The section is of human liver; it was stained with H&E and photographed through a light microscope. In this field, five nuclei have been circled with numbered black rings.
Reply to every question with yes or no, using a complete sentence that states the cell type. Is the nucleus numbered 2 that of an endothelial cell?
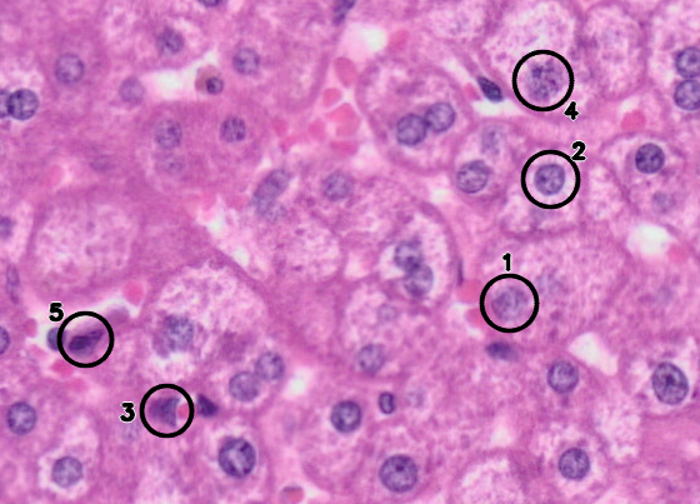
No, the cell numbered 2 is a hepatocyte rather than an endothelial cell.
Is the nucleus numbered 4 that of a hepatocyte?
Yes, the cell denoted by 4 is a hepatocyte.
